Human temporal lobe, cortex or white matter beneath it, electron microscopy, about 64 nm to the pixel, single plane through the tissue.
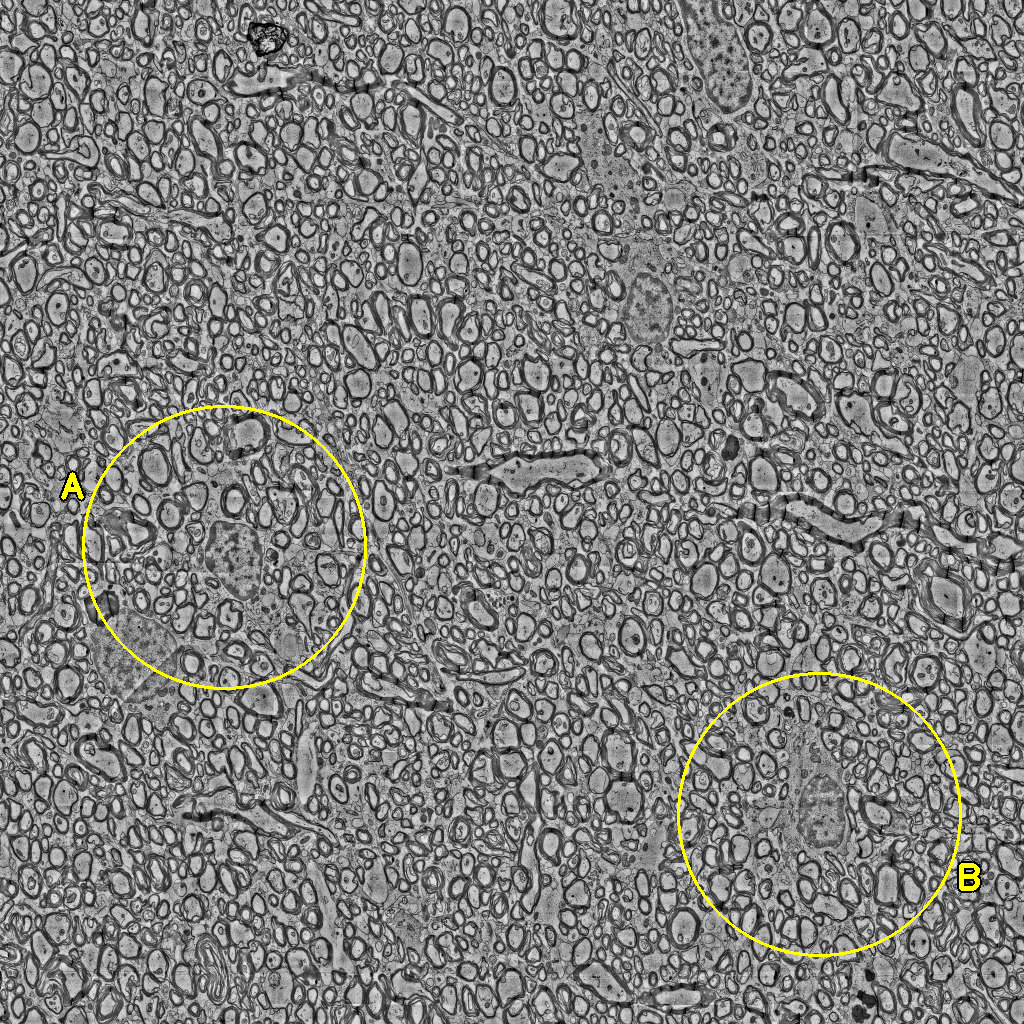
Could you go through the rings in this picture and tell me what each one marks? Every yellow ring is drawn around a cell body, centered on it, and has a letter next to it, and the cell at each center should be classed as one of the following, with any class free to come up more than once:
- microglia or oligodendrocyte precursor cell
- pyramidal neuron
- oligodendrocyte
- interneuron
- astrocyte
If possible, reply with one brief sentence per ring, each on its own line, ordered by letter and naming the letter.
The cell centered in ring A is a microglial cell or oligodendrocyte precursor cell.
The cell centered in ring B is an oligodendrocyte.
